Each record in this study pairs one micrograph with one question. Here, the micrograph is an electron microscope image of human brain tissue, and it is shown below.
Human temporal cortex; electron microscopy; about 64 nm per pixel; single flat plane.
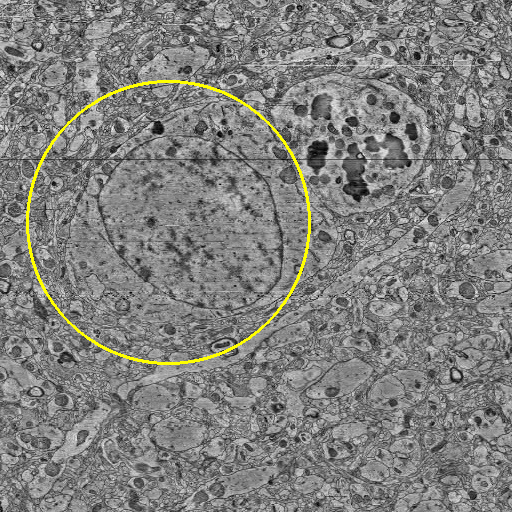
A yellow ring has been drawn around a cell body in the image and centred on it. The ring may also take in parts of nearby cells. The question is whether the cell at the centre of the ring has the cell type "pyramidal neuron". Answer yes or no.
yes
